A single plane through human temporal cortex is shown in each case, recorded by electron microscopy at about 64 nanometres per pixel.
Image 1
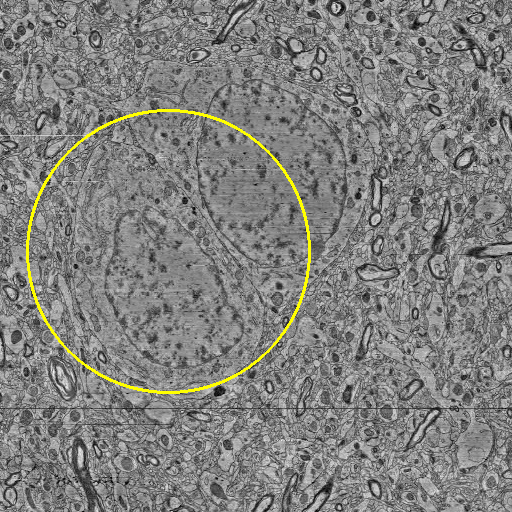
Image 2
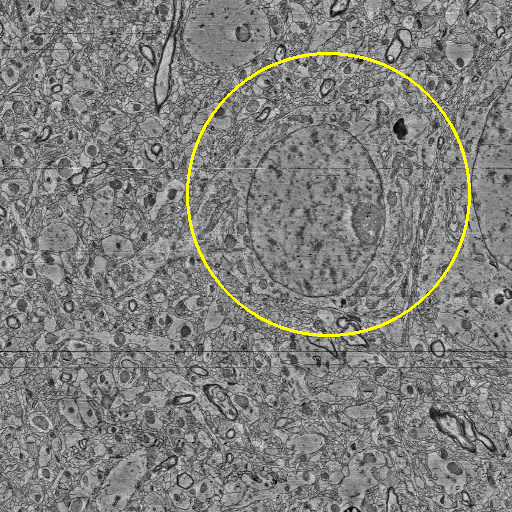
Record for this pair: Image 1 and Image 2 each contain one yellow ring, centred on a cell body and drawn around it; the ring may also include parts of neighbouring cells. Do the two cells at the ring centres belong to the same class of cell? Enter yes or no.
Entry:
yes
